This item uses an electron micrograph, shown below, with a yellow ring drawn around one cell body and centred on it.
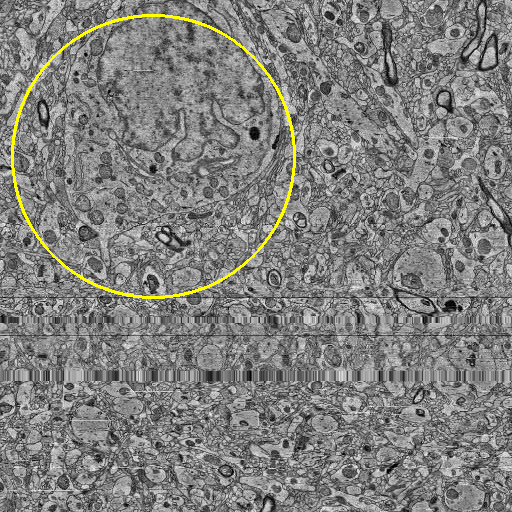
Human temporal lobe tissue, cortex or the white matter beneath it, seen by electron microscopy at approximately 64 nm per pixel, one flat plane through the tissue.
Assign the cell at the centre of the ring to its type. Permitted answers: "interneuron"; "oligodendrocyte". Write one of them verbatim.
interneuron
